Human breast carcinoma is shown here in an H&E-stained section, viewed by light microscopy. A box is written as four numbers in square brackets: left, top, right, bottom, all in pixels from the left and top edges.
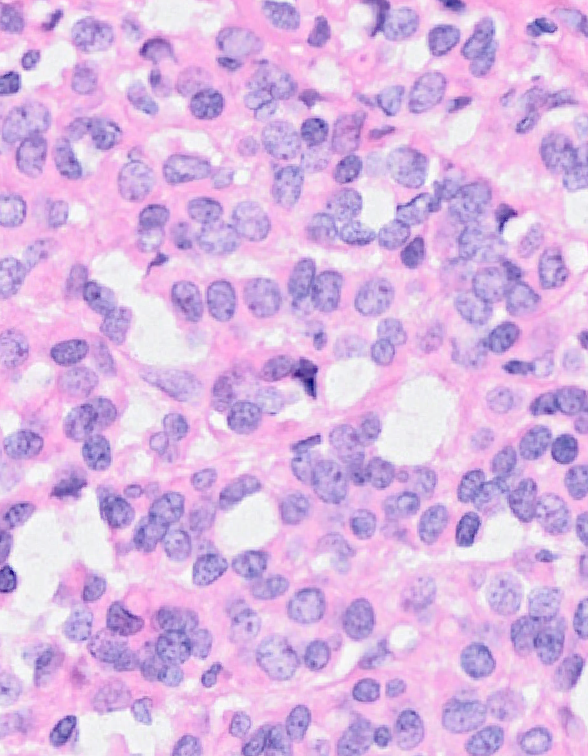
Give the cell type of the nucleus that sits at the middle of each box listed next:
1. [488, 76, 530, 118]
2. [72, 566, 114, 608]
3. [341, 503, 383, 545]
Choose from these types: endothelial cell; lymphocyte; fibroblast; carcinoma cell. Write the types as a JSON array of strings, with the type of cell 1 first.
["endothelial cell", "carcinoma cell", "carcinoma cell"]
